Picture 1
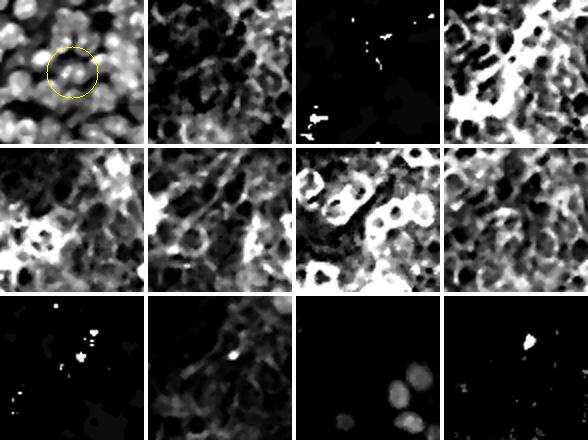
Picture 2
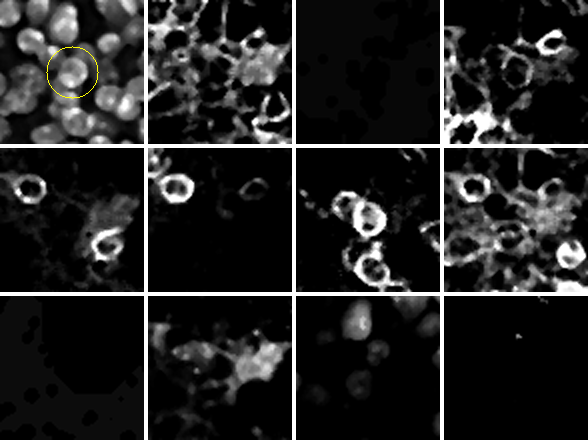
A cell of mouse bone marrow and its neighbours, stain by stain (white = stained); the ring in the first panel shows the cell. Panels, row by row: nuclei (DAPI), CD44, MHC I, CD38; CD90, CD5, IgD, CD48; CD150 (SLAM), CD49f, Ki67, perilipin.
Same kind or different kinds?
Same: B cells.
